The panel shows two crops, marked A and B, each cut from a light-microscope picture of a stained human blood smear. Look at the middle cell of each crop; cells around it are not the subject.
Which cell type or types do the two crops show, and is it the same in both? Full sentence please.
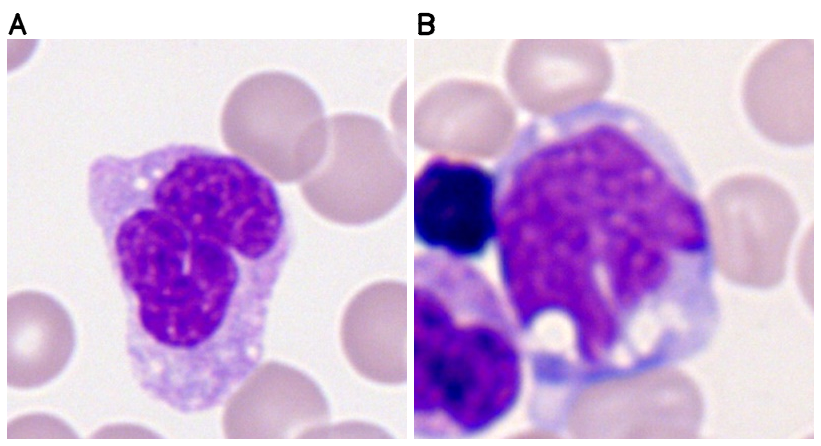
Yes, both crops are centred on cells that are monocytes.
